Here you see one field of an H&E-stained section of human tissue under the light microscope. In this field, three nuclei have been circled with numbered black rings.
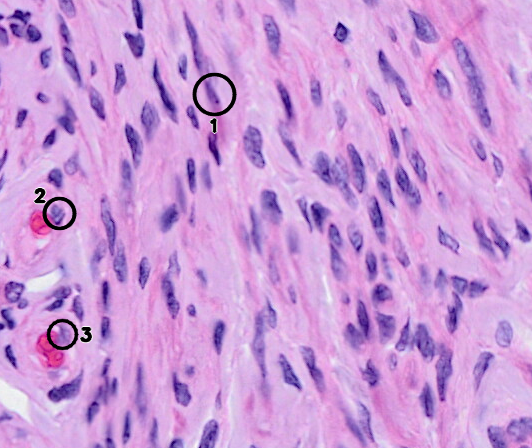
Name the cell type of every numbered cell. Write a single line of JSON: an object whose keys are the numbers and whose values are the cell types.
{"1": "smooth muscle cell", "2": "endothelial cell", "3": "endothelial cell"}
